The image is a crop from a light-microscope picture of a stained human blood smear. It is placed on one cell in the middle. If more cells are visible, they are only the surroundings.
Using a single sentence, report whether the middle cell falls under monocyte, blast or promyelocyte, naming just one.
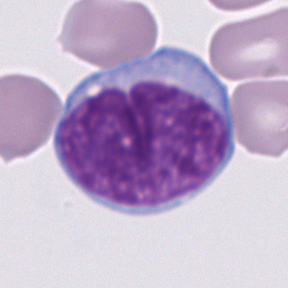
The cell shown in the center of this light-microscope crop is a blast.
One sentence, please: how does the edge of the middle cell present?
No surface projections are present; the cell outline is smooth.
